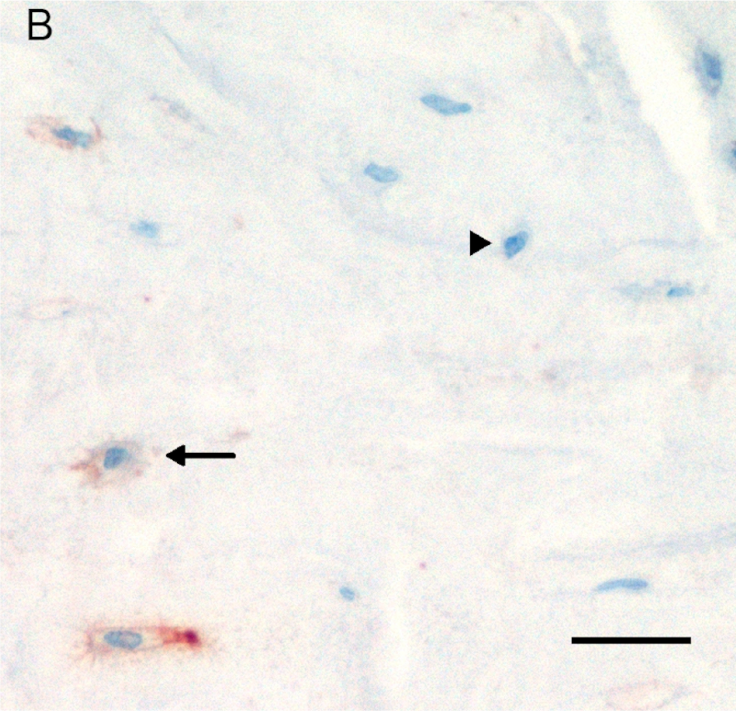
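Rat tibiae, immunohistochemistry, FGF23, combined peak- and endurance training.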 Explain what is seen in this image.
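This is cortical bone, with osteocytes scattered singly through a pale, faintly lamellar matrix. Each osteocyte shows a small, oval to elongated blue nucleus lying within a narrow lacuna. Some osteocytes are surrounded by reddish-brown staining that extends along the lacuna and into fine thread-like processes. Other osteocytes show only the blue nucleus, with no reddish-brown colour around them.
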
